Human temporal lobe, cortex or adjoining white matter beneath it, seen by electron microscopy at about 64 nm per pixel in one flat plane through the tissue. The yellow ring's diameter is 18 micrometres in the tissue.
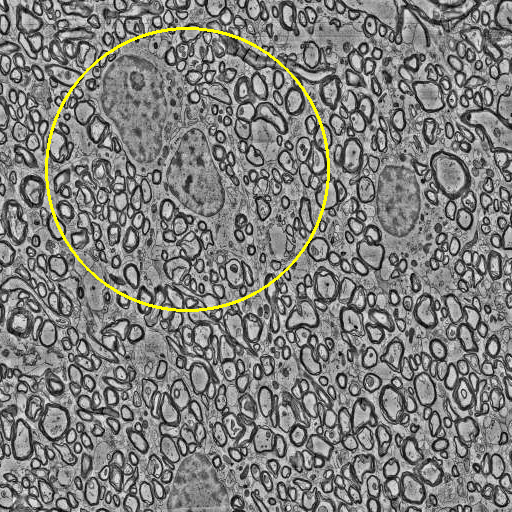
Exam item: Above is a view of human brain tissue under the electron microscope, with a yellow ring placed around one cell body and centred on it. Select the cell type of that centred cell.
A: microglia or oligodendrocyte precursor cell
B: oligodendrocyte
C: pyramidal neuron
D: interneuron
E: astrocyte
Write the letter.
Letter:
A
